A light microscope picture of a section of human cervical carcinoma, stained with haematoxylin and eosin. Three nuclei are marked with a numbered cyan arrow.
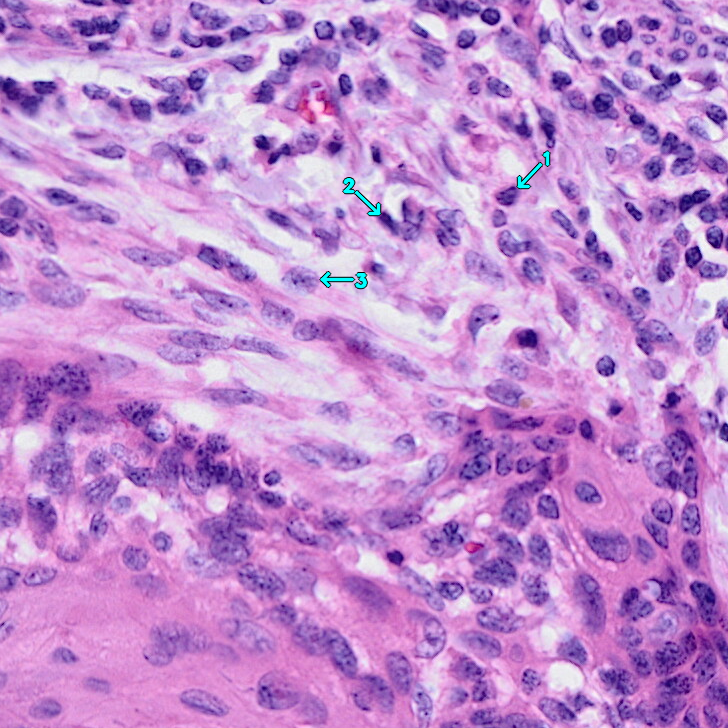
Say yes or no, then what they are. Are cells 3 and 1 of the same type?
No; cell 3 is a fibroblast, whereas cell 1 is a lymphocyte.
